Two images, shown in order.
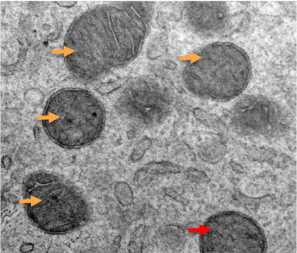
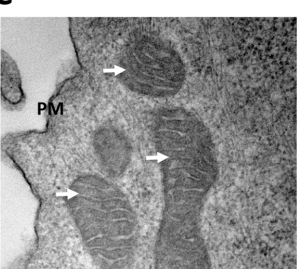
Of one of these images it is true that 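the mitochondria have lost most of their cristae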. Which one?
the first image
